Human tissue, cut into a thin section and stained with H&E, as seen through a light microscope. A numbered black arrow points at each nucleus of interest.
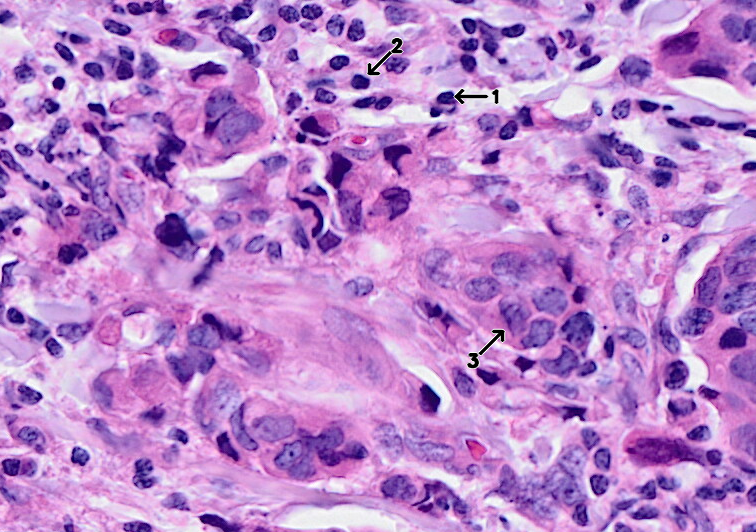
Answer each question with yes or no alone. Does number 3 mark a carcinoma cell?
yes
